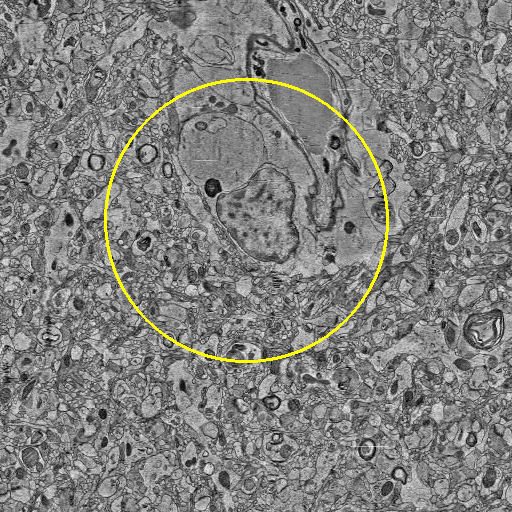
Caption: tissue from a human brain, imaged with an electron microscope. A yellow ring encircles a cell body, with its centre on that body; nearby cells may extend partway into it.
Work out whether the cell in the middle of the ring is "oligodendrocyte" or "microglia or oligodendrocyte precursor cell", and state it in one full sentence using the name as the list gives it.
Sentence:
In the picture, the cell that the yellow ring surrounds at its centre is a microglial cell or oligodendrocyte precursor cell.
